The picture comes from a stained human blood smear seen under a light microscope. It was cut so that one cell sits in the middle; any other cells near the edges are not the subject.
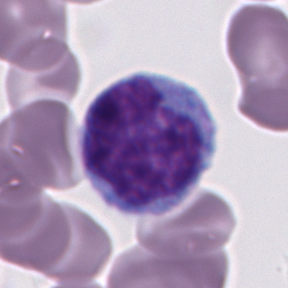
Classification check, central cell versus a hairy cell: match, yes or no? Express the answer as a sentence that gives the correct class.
No, the label for the central cell is a monocyte, not a hairy cell.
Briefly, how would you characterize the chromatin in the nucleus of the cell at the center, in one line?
What stands out is chromatin that is coarsely clumped.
